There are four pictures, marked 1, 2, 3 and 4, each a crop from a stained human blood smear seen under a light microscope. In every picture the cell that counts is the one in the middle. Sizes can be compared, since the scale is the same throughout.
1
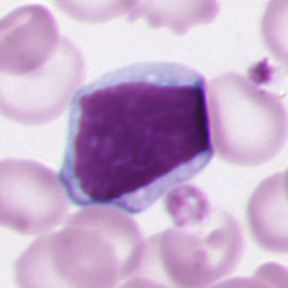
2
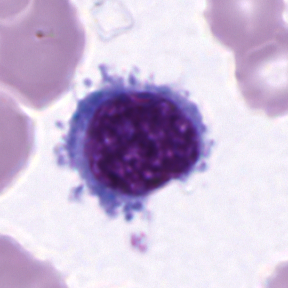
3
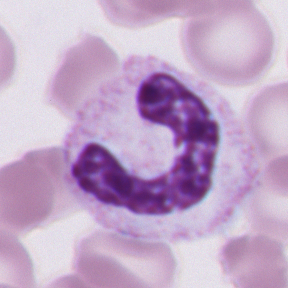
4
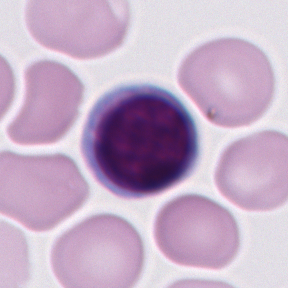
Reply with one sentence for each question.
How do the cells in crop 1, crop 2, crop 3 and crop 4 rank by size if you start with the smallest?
The order is 4, 2, 1, 3, beginning with the smallest.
